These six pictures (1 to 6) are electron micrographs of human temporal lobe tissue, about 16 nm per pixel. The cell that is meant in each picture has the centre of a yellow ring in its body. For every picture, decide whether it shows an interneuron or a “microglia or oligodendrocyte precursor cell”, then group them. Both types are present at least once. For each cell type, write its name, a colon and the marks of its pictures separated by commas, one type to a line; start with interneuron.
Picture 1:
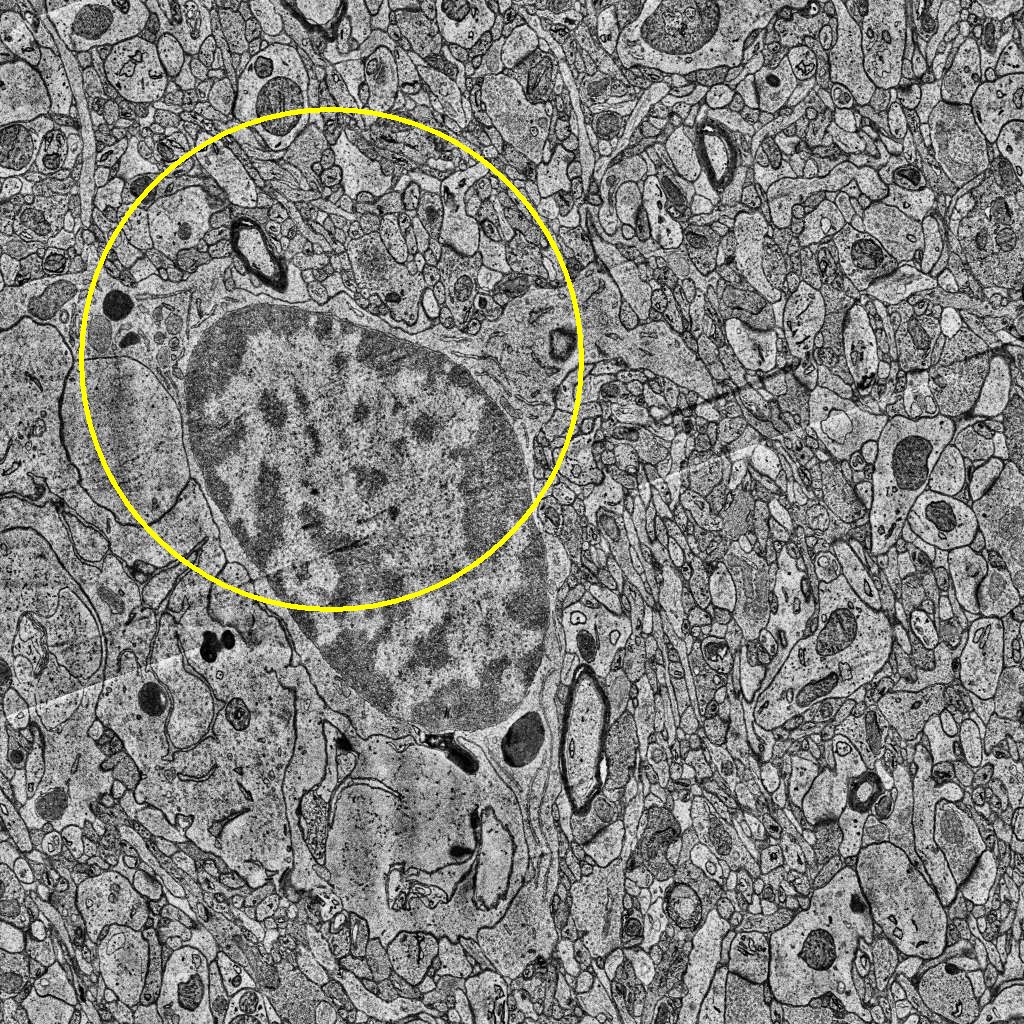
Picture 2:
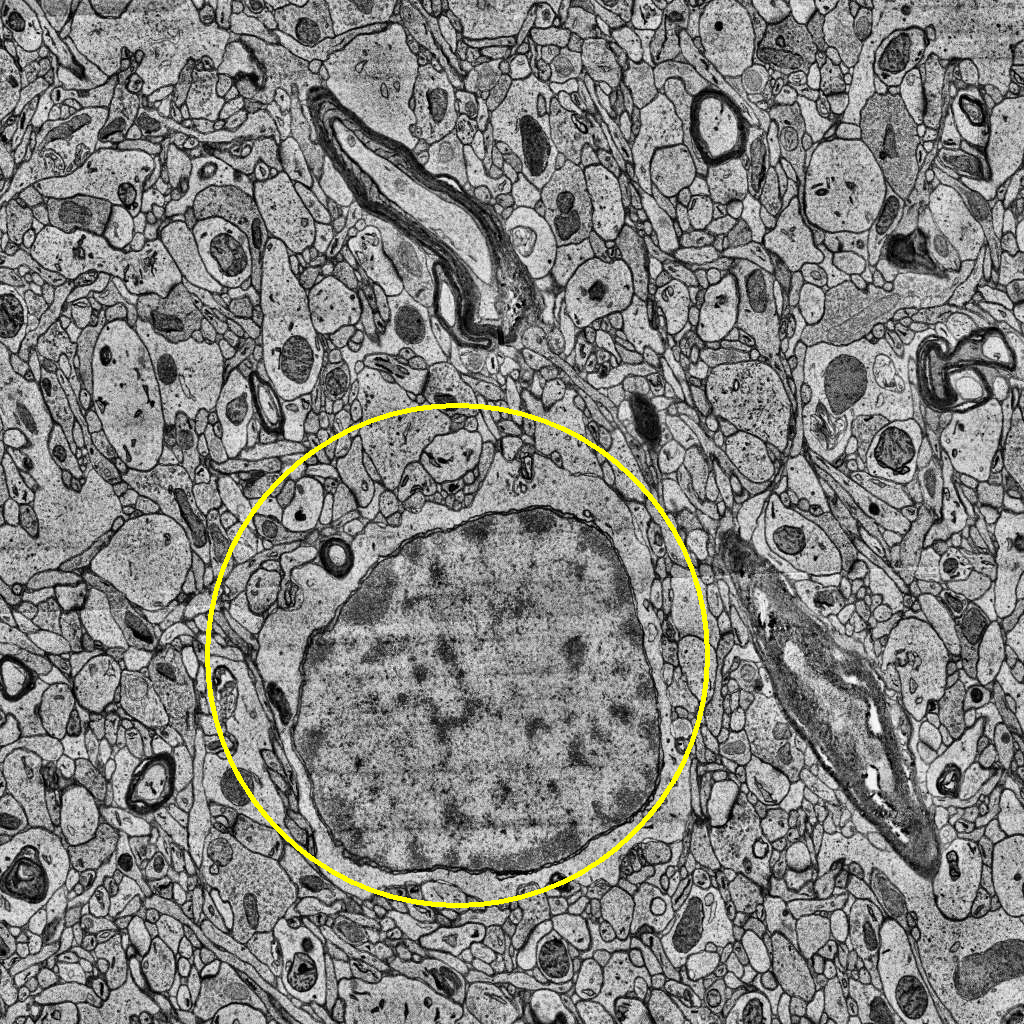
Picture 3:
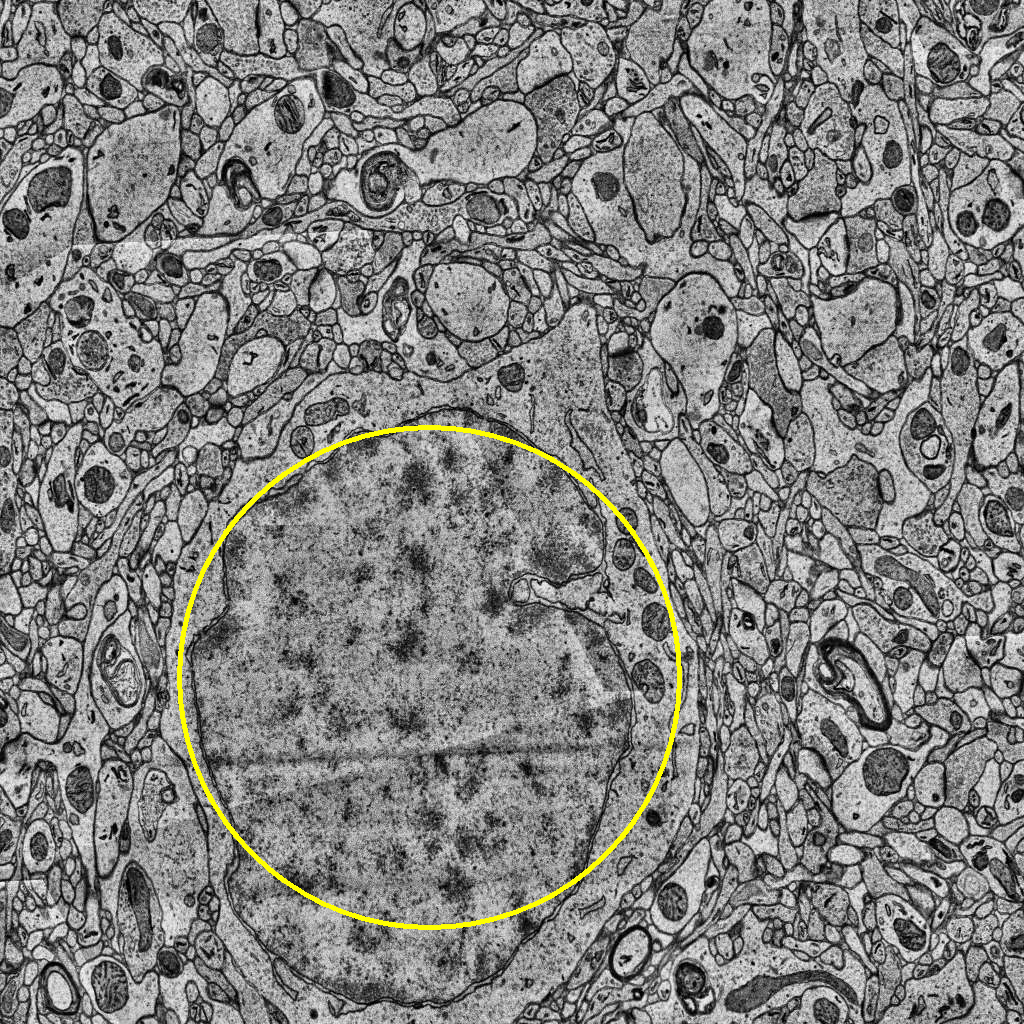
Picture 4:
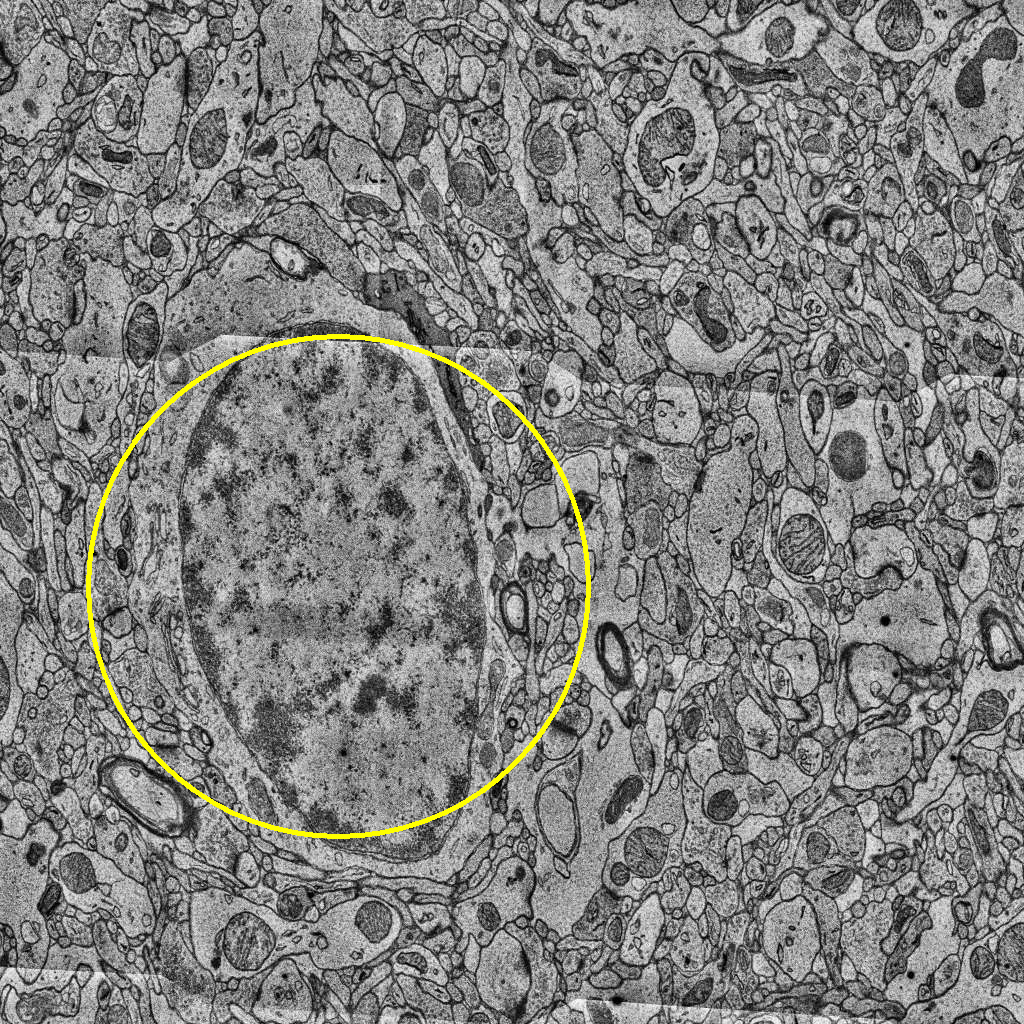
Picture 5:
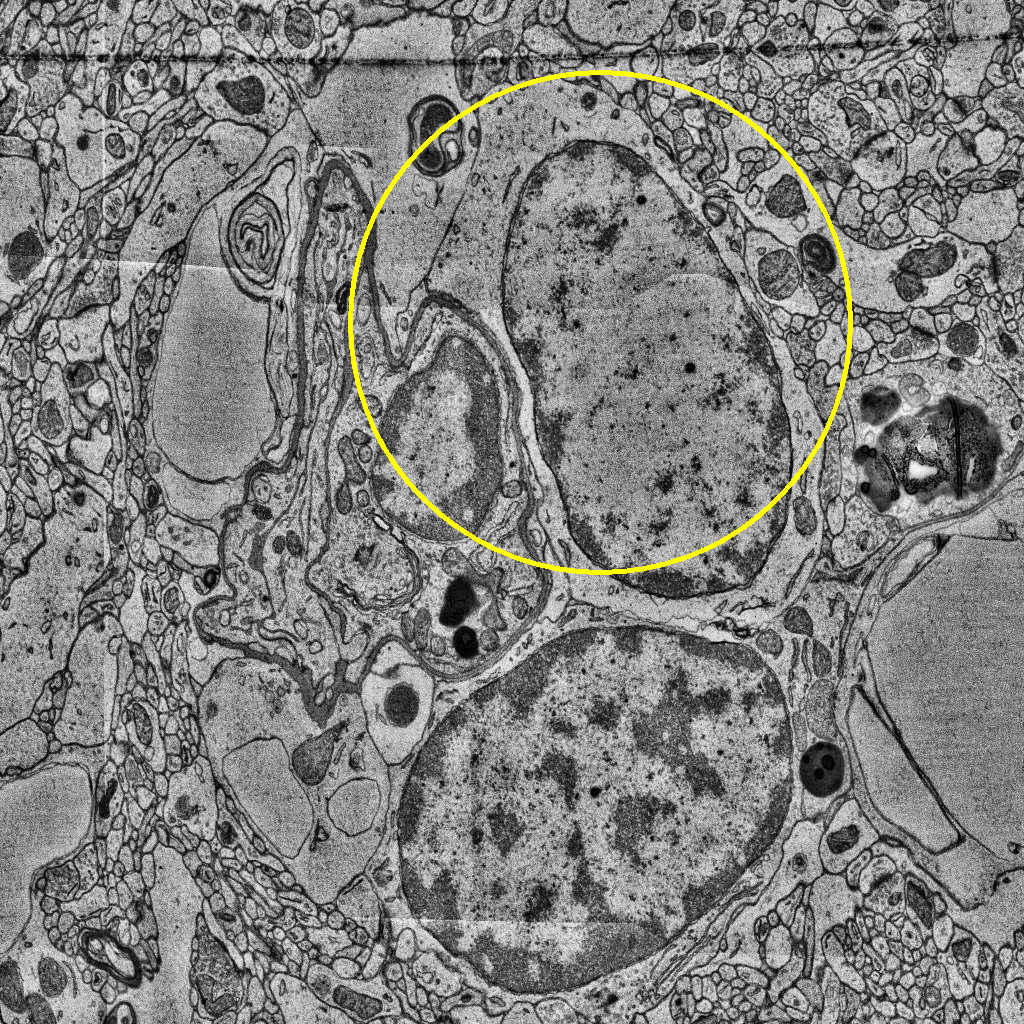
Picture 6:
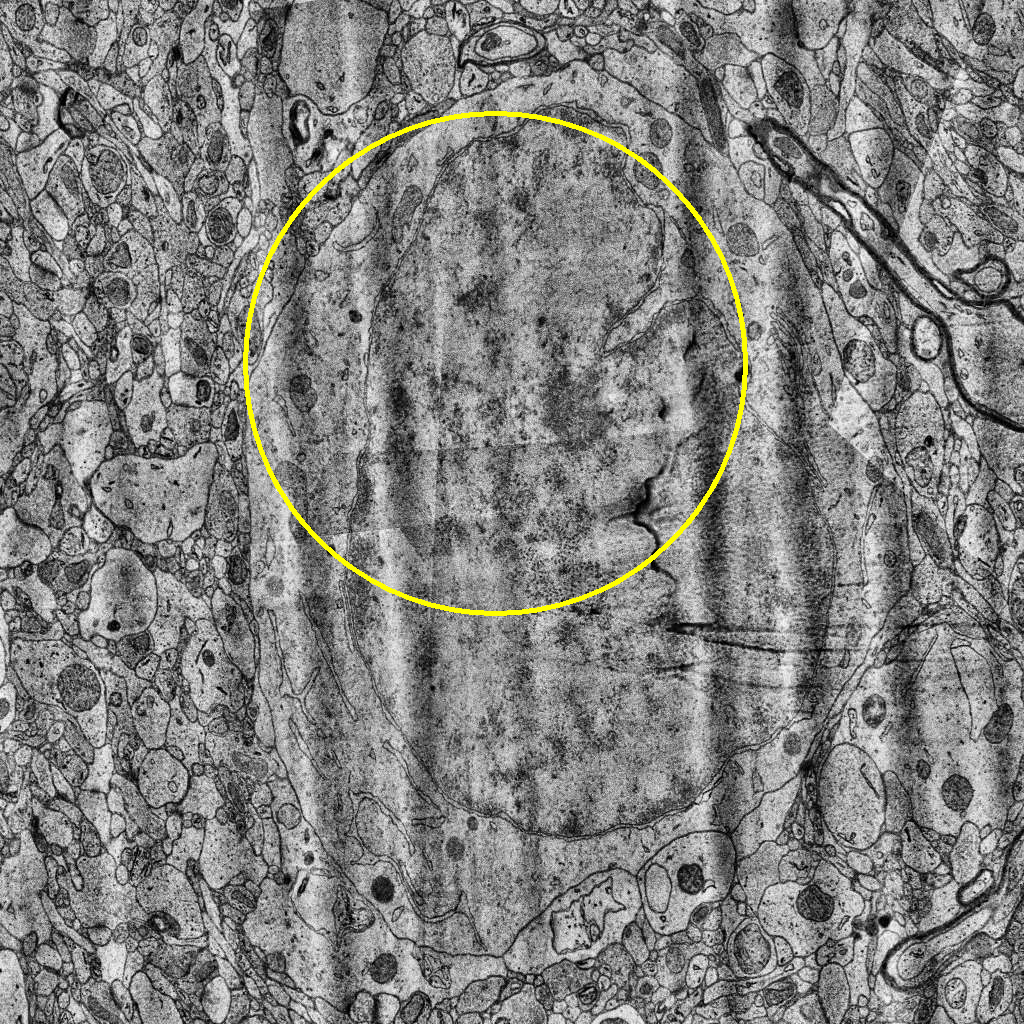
interneuron: 3, 6
microglia or oligodendrocyte precursor cell: 1, 2, 4, 5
